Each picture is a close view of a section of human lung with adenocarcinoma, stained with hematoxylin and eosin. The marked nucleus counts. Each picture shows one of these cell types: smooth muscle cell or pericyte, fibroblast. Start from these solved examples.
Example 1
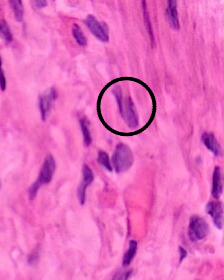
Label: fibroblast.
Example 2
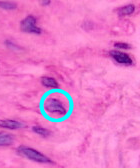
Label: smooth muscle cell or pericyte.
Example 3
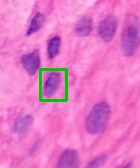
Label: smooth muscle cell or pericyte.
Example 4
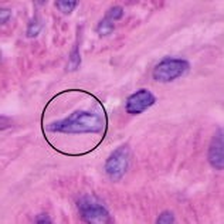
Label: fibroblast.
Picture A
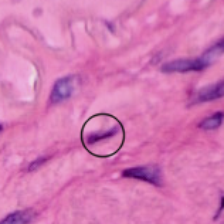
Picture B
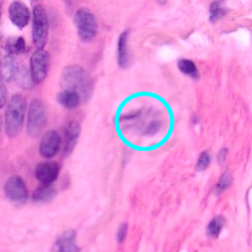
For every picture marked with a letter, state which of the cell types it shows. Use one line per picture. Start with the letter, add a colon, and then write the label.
A: smooth muscle cell or pericyte.
B: fibroblast.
